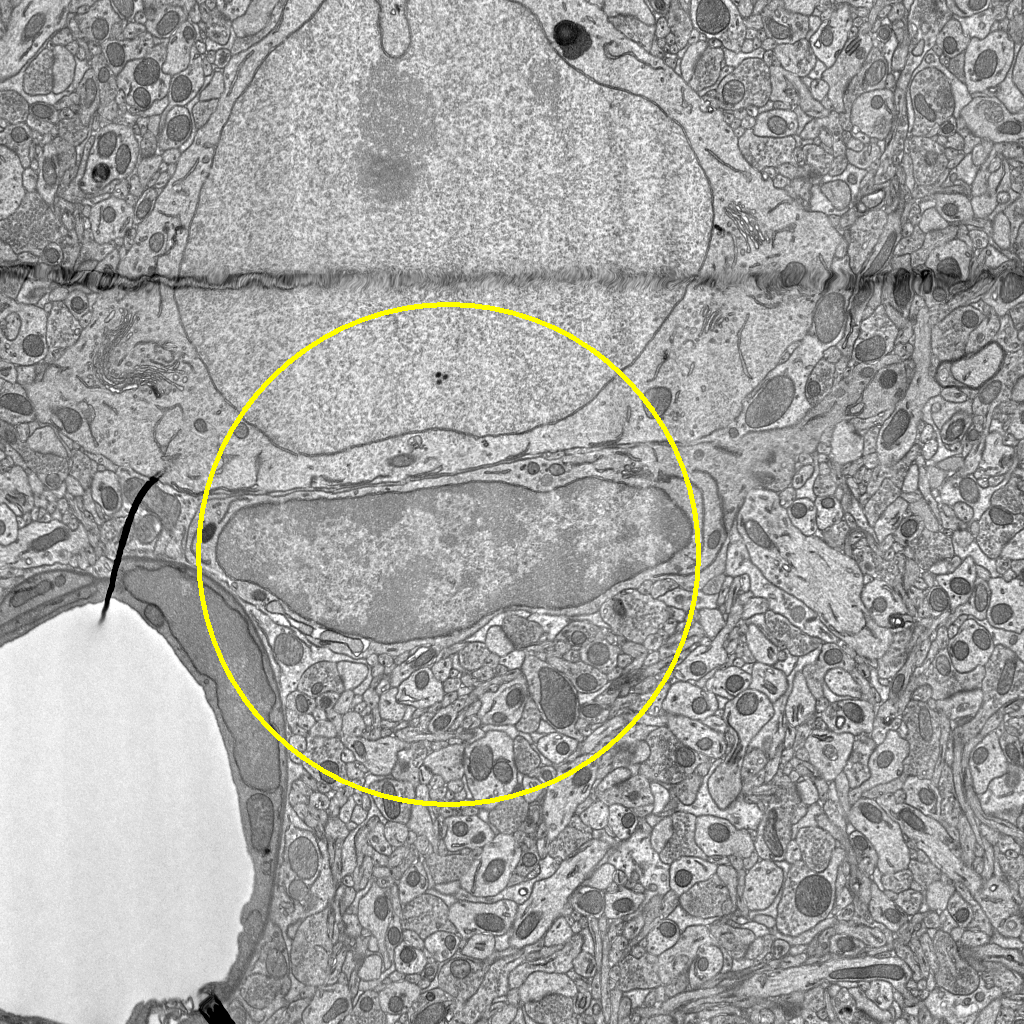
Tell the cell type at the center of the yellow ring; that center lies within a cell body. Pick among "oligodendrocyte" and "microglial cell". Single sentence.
The ring's center lies in the body of a microglial cell.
